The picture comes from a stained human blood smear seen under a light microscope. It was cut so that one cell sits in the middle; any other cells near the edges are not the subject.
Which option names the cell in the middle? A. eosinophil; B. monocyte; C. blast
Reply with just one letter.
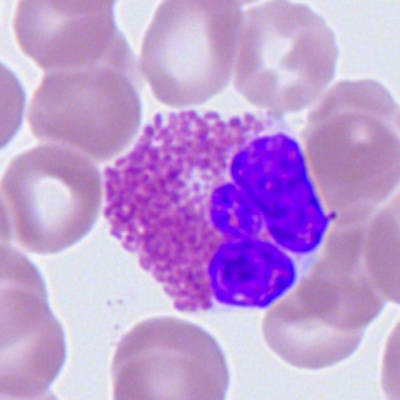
A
